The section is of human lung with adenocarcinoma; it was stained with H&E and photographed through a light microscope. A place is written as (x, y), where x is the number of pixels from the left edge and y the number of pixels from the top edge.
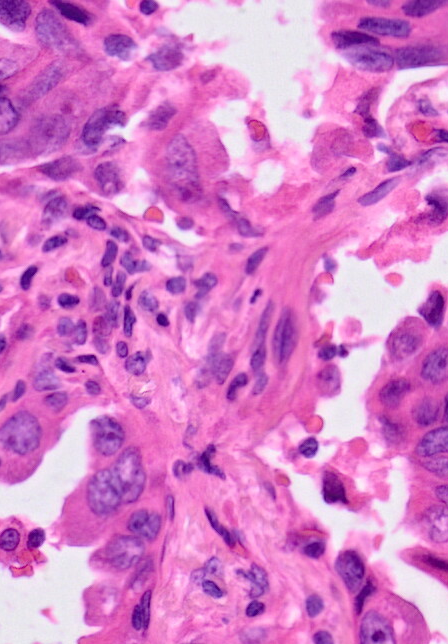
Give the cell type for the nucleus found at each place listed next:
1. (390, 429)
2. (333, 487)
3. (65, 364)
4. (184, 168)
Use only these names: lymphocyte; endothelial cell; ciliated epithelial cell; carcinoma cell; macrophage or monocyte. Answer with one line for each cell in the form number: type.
1: carcinoma cell
2: carcinoma cell
3: lymphocyte
4: carcinoma cell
